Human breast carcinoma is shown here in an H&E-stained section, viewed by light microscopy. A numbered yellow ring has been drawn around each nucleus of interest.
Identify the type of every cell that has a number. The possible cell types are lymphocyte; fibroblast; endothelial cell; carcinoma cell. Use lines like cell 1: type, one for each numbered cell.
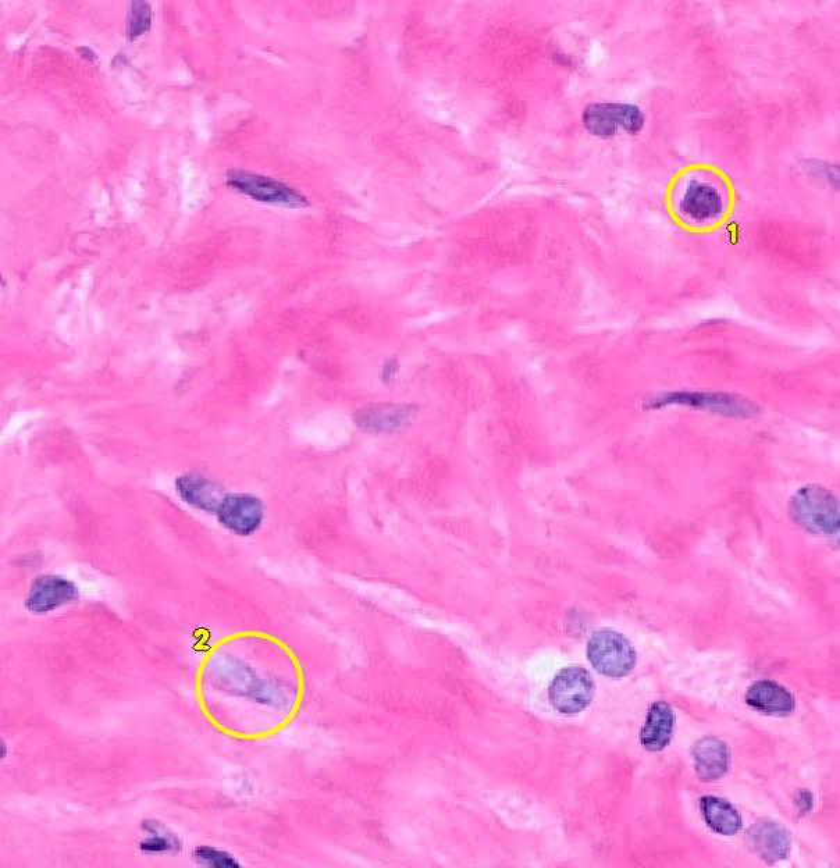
cell 1: lymphocyte
cell 2: fibroblast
